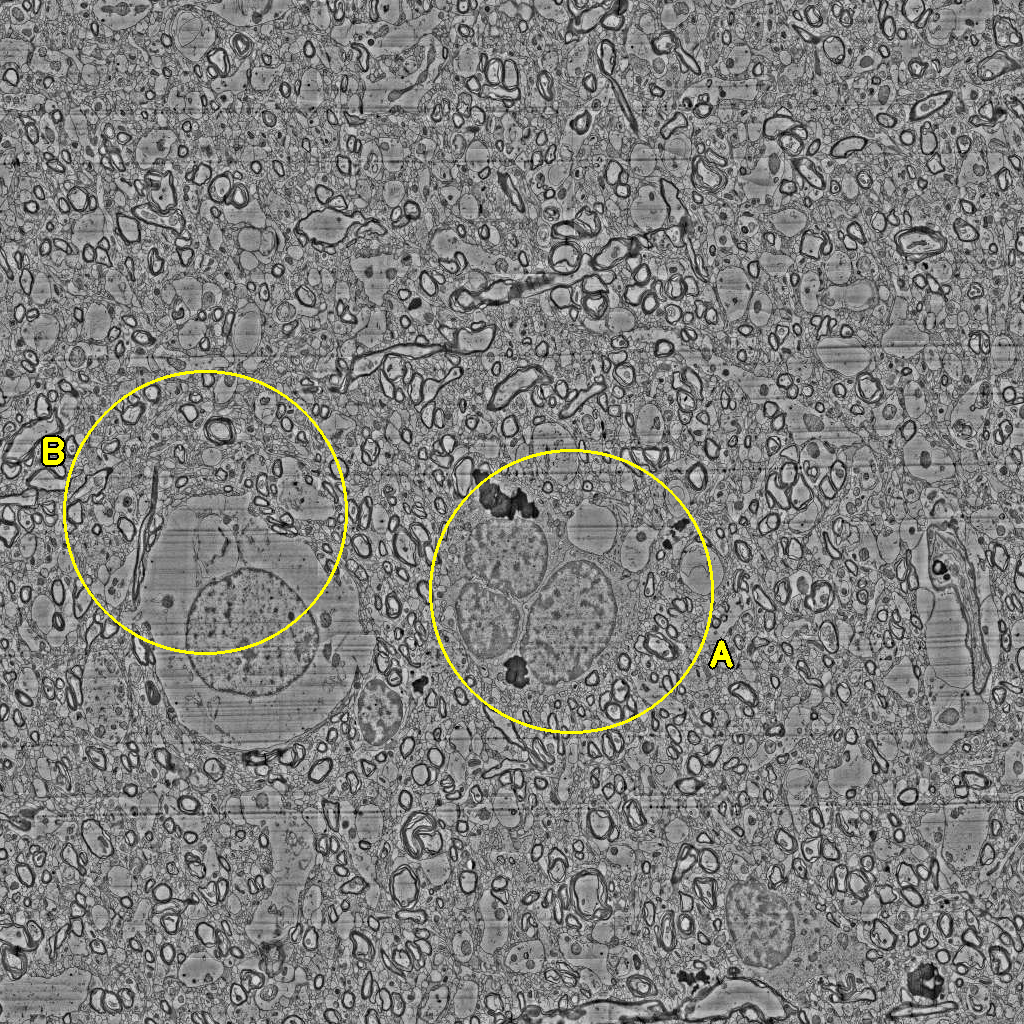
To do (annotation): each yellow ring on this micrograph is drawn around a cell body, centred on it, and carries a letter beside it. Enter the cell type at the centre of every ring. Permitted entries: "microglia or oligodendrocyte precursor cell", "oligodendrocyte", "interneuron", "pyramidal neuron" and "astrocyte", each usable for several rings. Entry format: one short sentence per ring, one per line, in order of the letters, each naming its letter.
Ring A: the cell at its centre is an oligodendrocyte.
Ring B: the cell at its centre is an astrocyte.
